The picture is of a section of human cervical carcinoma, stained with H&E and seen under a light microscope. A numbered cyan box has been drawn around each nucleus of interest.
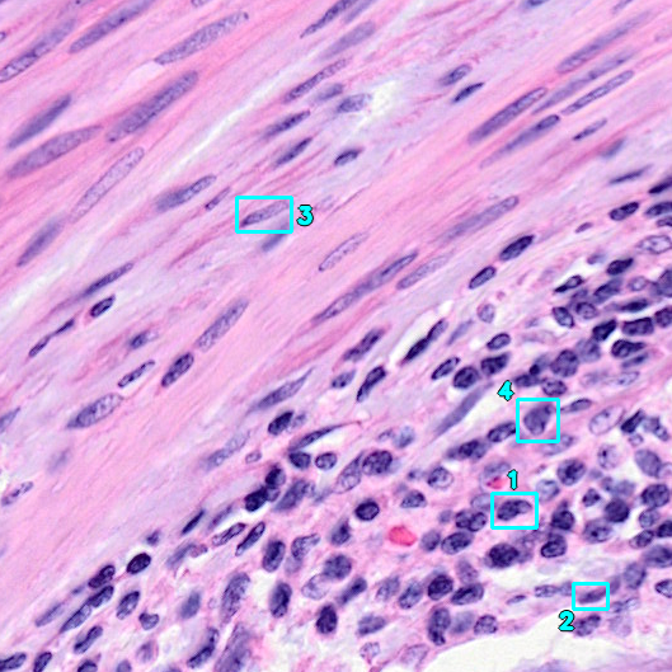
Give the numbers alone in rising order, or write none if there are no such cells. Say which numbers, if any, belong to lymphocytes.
1, 2, 4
